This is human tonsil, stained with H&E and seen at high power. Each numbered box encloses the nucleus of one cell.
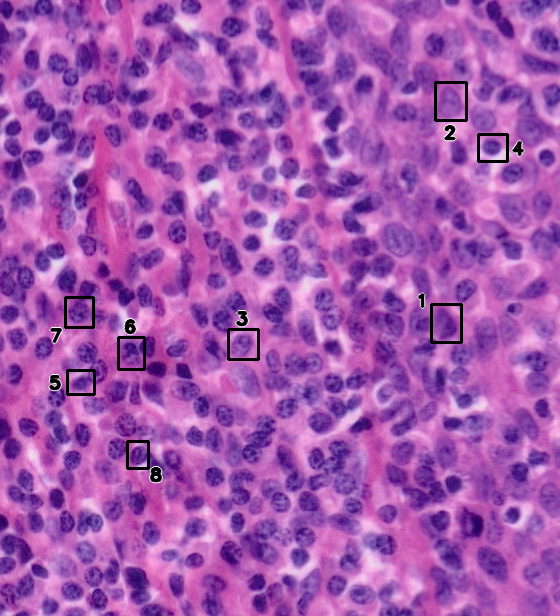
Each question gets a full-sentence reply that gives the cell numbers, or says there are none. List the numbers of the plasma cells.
Cells 3, 5, 6, 7 and 8 are classified as plasma cells.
